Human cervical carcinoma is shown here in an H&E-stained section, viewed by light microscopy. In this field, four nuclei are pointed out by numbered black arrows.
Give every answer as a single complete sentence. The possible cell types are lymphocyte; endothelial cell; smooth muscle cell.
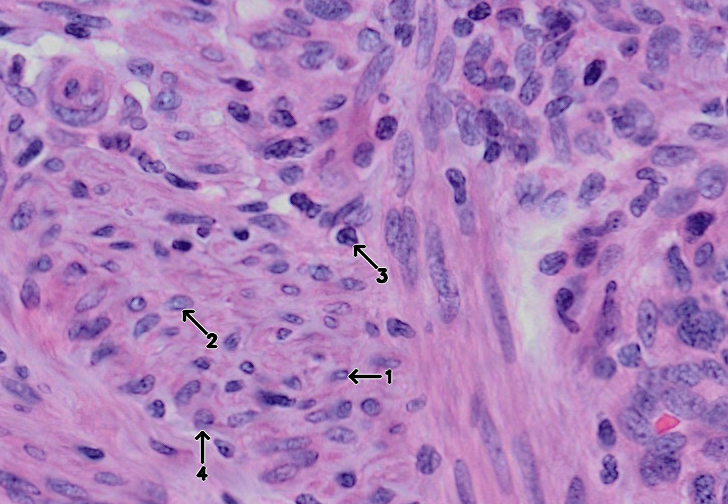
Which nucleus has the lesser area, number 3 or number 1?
Nucleus 1 covers less area, with nucleus 3 about 2 times as large.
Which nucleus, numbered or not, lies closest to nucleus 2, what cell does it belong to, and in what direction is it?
The nearest one is a smooth muscle cell, found below nucleus 2.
